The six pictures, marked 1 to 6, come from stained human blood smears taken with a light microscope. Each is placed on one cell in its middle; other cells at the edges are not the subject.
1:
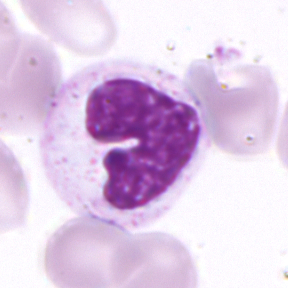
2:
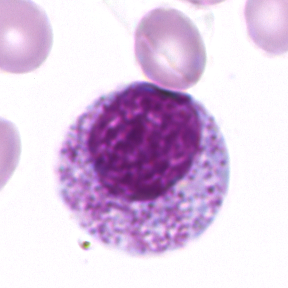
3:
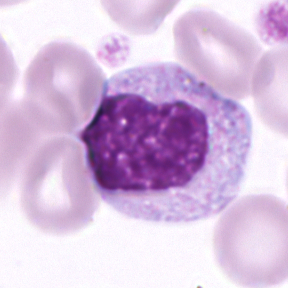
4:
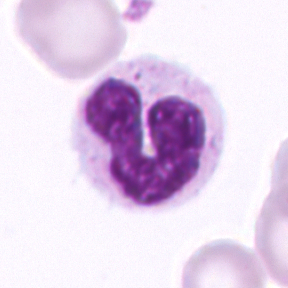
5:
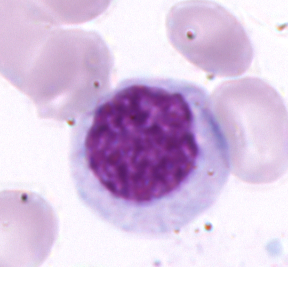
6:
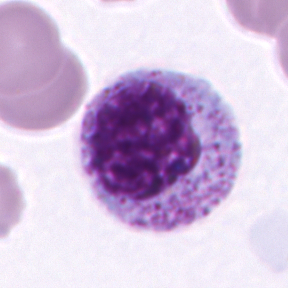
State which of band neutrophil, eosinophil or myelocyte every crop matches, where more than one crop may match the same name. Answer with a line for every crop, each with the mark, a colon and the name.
1: band neutrophil
2: myelocyte
3: myelocyte
4: band neutrophil
5: myelocyte
6: myelocyte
